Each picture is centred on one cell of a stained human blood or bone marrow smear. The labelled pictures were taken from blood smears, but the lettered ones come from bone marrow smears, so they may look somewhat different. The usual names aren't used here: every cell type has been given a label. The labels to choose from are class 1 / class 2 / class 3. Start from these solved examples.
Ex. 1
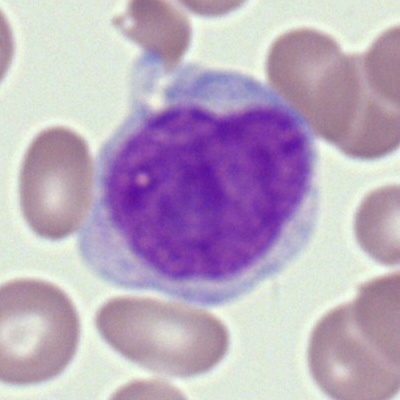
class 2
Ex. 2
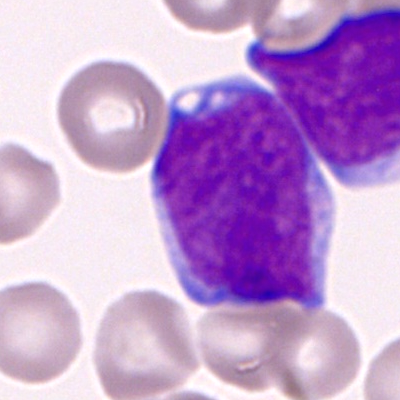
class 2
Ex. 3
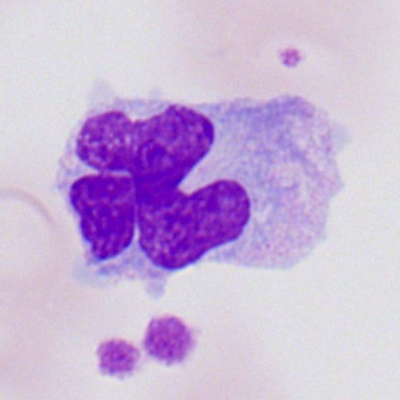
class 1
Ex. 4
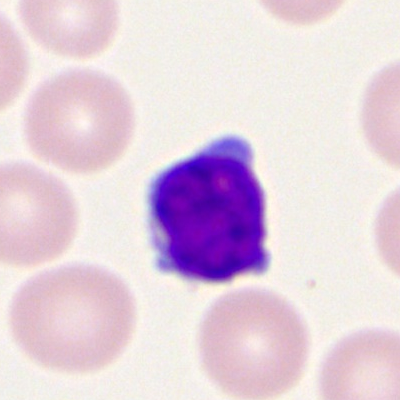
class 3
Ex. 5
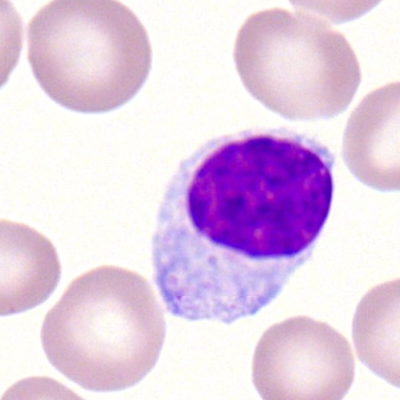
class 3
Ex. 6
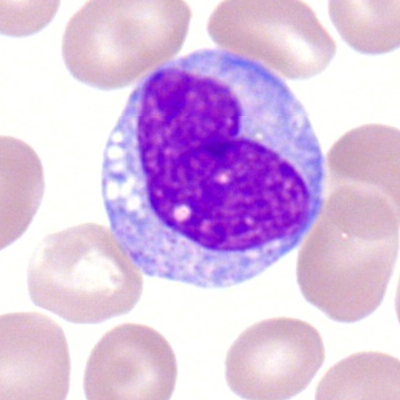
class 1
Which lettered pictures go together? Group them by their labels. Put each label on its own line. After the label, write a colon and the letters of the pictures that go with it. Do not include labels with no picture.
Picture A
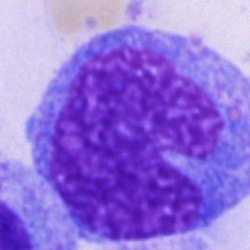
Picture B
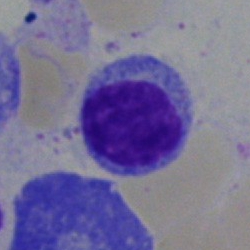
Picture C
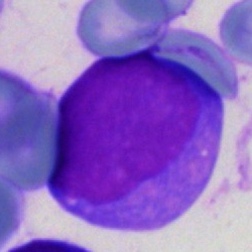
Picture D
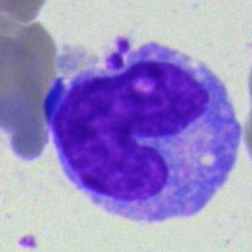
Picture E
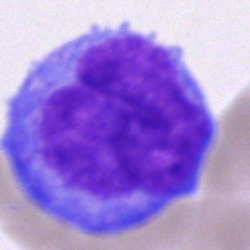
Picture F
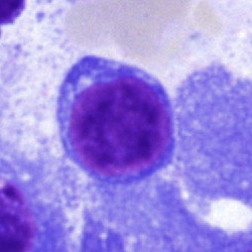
class 1: A, D
class 2: C, E
class 3: B, F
